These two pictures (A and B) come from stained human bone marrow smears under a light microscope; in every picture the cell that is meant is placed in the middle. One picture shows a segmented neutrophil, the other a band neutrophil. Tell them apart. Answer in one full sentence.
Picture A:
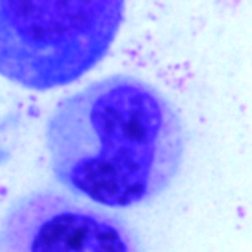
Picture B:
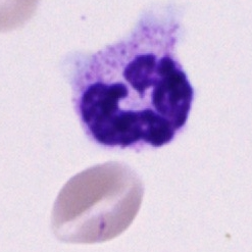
Picture B shows a segmented neutrophil, while picture A shows a band neutrophil.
